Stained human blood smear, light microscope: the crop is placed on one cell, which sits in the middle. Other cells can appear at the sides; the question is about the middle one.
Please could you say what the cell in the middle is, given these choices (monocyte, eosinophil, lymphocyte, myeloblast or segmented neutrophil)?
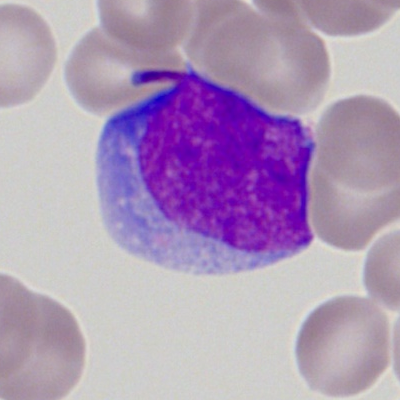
myeloblast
